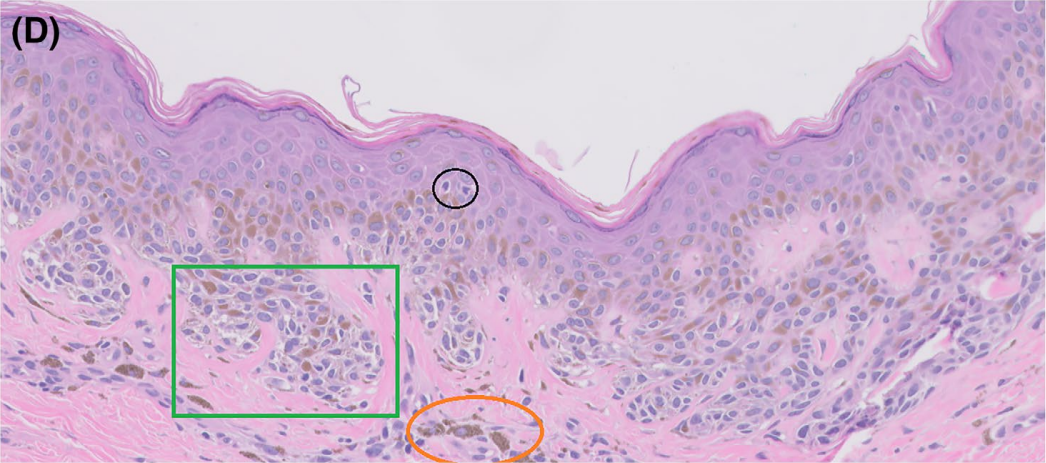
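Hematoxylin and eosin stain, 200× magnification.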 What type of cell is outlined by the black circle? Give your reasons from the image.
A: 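The circled cells lie singly in the middle layers of the epidermis, well above the basal layer. They have pale, clear cytoplasm set apart from the surrounding pink keratinocytes. That points to this answer: single pagetoid melanocytes.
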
